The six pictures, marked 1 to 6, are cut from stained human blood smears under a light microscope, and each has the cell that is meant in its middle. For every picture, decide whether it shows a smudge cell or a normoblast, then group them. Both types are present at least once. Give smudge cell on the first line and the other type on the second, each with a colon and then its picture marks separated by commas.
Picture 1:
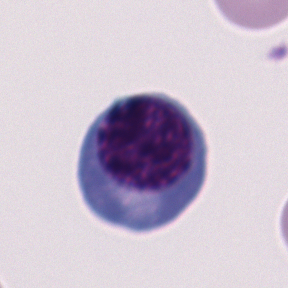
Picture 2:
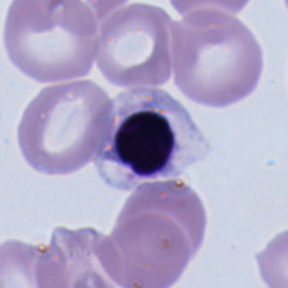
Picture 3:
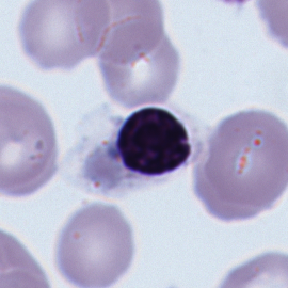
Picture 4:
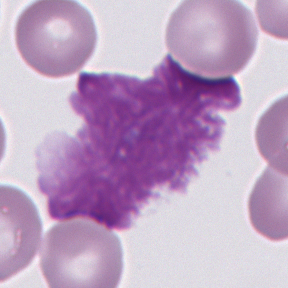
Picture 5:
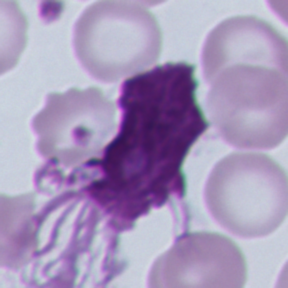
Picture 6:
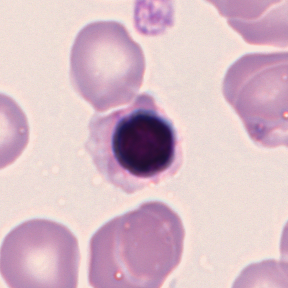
smudge cell: 4, 5
normoblast: 1, 2, 3, 6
